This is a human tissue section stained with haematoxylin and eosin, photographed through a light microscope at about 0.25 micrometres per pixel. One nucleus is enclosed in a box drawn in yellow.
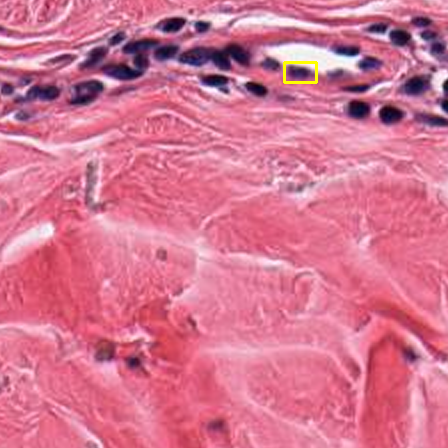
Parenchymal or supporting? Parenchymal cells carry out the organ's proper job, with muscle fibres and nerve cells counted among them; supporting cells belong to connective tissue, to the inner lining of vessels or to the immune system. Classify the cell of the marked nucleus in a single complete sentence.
The marked nucleus is part of a supporting cell.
